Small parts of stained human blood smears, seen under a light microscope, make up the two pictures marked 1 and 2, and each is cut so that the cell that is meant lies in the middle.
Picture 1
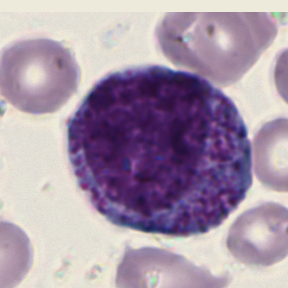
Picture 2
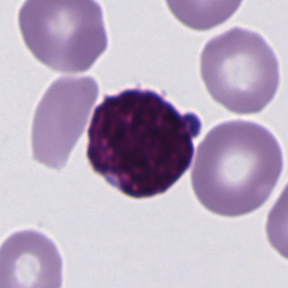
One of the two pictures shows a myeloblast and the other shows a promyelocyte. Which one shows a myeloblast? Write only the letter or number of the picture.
2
